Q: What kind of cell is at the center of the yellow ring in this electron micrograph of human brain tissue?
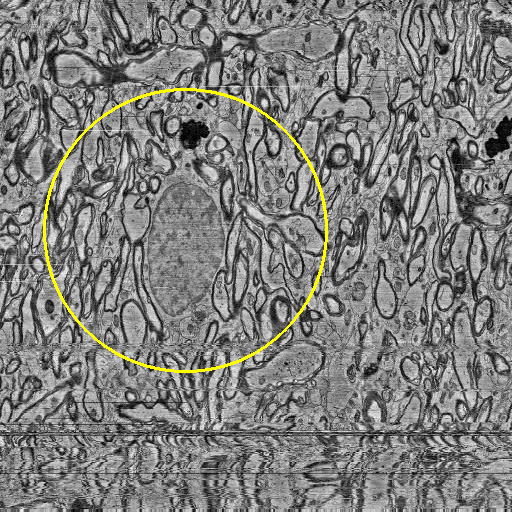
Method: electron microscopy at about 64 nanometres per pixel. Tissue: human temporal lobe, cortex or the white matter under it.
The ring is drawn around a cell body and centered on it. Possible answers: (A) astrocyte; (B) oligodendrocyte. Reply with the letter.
B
